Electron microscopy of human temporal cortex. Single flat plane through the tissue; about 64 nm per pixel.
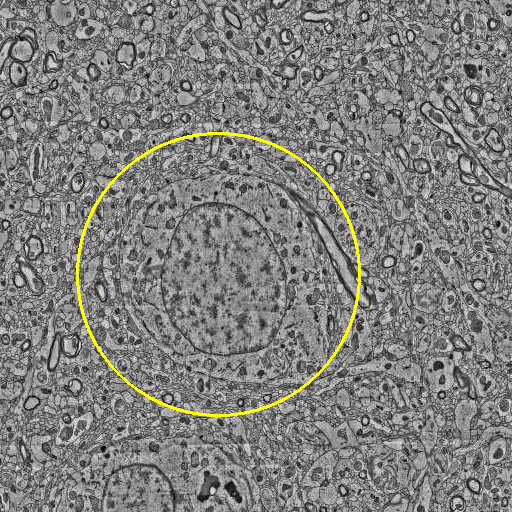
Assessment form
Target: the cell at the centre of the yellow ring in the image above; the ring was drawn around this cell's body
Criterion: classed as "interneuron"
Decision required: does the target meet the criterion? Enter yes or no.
yes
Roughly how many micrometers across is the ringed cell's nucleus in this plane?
Approximately 10 micrometres long and 8 micrometres wide, in this plane.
